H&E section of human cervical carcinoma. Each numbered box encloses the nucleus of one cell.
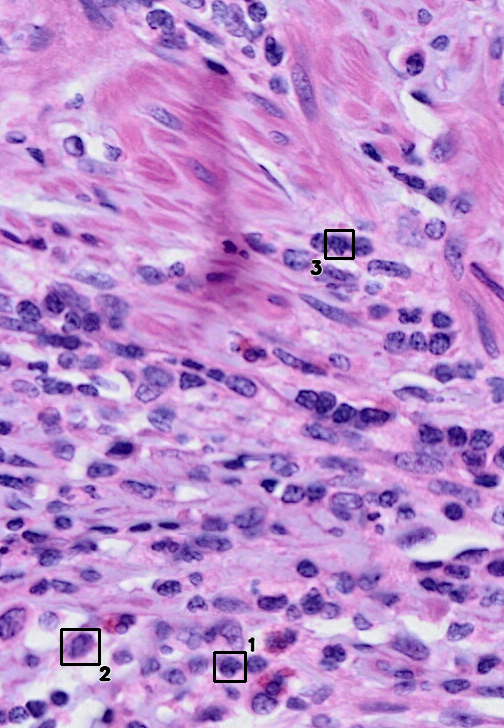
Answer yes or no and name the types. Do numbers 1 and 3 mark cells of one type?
Yes, cells 1 and 3 both qualify as lymphocytes.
